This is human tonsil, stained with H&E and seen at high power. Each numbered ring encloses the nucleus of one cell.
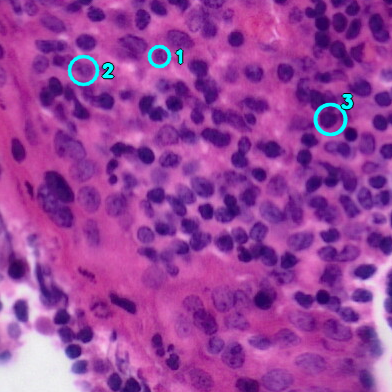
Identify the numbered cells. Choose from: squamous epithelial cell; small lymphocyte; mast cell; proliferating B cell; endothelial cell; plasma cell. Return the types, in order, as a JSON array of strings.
["squamous epithelial cell", "squamous epithelial cell", "plasma cell"]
